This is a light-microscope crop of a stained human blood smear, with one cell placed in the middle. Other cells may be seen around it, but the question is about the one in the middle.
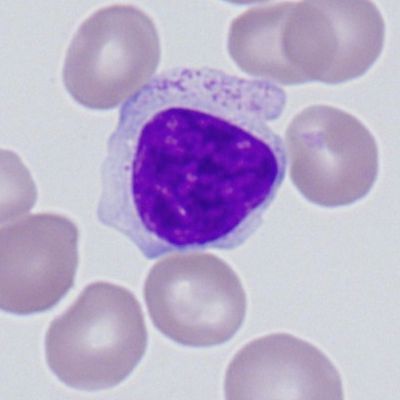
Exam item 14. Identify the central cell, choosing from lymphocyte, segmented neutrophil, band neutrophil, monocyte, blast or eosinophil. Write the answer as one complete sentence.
The middle of this crop is occupied by a lymphocyte.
